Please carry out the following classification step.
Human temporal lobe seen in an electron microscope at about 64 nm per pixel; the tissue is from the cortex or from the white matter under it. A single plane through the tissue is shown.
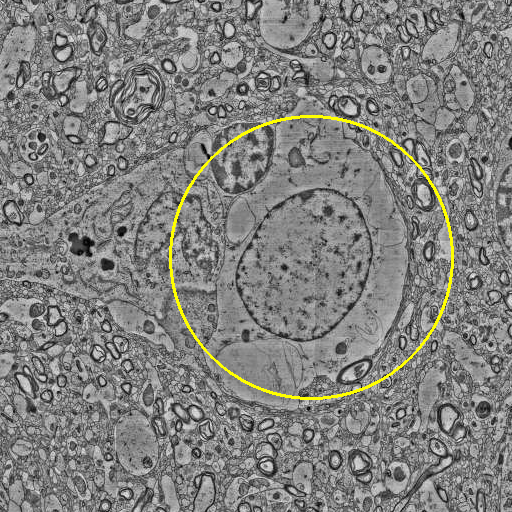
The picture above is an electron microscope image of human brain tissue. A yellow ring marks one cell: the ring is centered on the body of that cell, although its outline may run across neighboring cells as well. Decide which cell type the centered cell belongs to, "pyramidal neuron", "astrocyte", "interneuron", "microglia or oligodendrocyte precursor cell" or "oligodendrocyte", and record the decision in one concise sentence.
The cell centered in the yellow ring is an astrocyte.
